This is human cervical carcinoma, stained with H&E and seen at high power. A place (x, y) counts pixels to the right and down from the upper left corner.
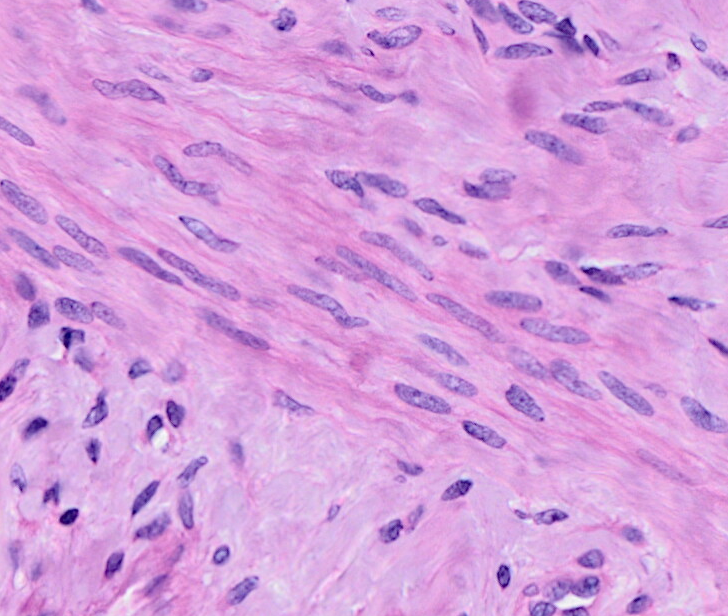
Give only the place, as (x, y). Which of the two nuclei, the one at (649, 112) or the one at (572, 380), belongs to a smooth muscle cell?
(572, 380)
